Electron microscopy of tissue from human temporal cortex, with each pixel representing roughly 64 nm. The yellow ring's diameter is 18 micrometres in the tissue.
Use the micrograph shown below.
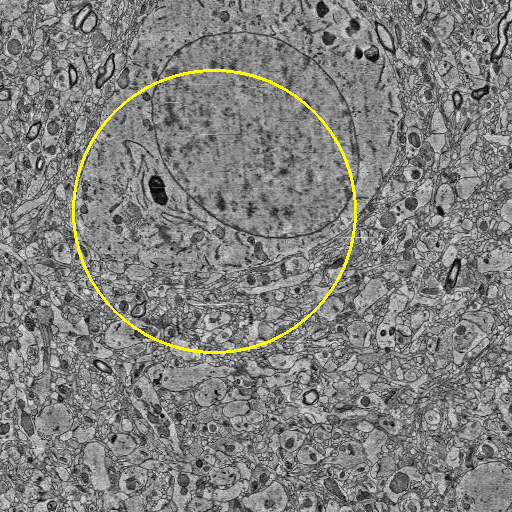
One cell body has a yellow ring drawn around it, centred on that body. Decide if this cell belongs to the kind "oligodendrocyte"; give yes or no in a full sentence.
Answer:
No, the cell lying at the ring's centre in the micrograph is of another kind.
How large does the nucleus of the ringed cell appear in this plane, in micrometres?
Roughly 15 by 12 micrometres in this plane, for the nucleus of the ringed cell.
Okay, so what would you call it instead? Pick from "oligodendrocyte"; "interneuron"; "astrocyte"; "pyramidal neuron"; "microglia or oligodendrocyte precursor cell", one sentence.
The cell marked by the ring is a pyramidal neuron.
